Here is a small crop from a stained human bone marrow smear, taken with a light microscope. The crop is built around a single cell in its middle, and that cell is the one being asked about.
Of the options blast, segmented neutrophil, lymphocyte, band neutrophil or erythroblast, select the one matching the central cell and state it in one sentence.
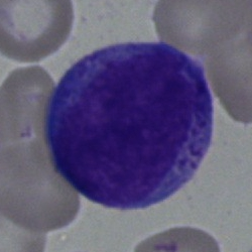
Whatever else lies nearby, the middle cell is a blast.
